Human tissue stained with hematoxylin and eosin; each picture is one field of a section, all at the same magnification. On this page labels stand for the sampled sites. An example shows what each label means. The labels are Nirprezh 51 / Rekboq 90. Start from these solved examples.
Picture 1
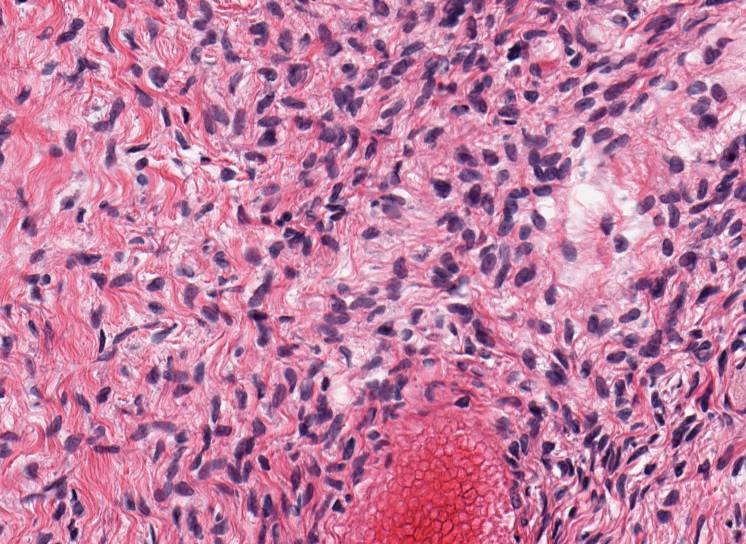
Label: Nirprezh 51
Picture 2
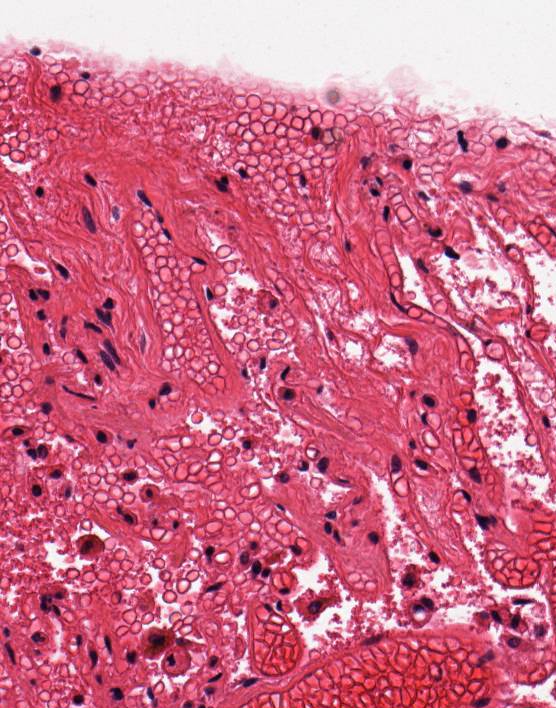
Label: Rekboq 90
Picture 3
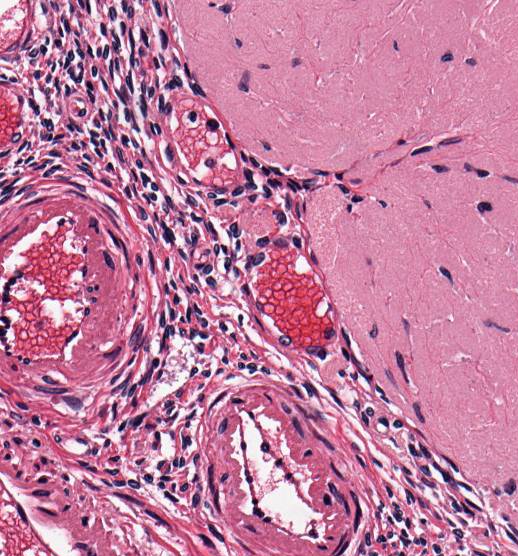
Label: Nirprezh 51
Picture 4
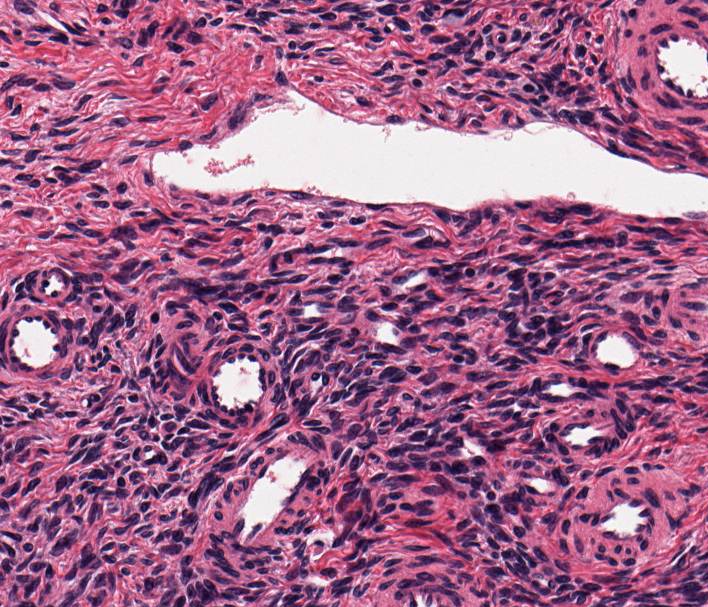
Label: Nirprezh 51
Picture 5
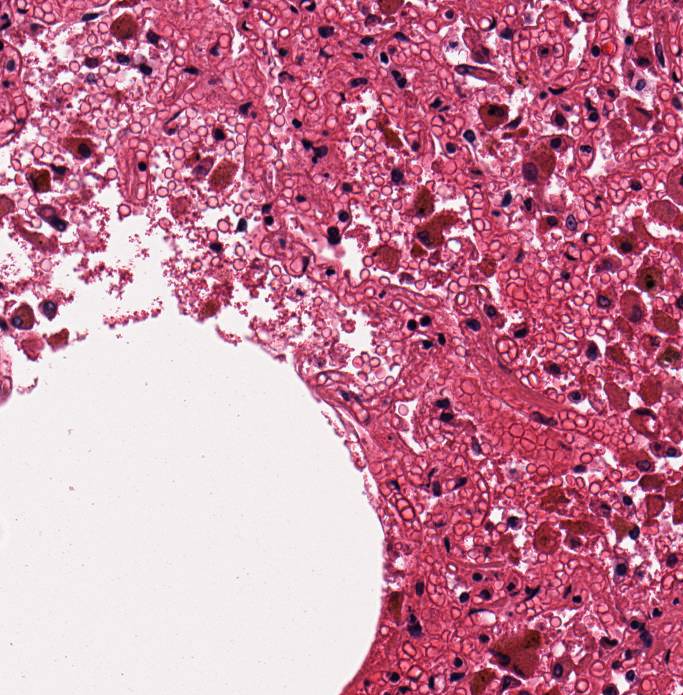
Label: Rekboq 90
